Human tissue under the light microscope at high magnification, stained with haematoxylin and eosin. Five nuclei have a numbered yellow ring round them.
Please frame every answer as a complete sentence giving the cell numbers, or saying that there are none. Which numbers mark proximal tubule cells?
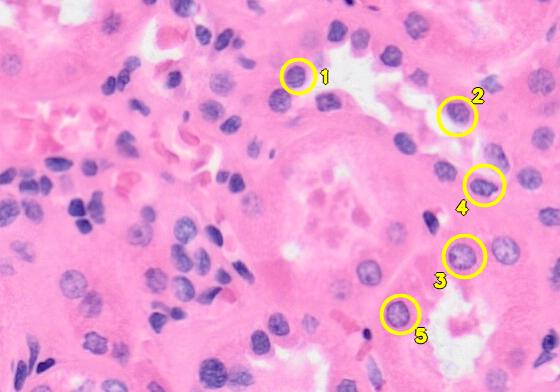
The cells that have numbers 3 and 5 are proximal tubule cells.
